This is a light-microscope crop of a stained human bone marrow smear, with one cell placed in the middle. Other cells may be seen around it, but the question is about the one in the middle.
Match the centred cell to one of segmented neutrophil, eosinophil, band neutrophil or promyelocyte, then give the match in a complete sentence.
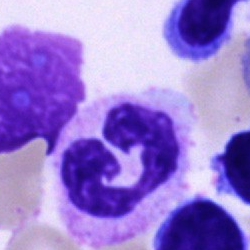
The single cell at the center of the crop is a segmented neutrophil.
